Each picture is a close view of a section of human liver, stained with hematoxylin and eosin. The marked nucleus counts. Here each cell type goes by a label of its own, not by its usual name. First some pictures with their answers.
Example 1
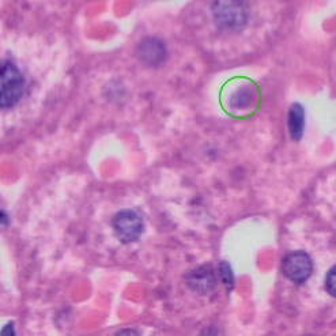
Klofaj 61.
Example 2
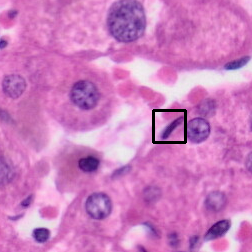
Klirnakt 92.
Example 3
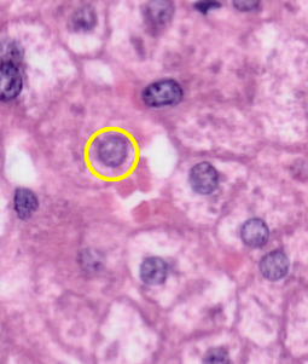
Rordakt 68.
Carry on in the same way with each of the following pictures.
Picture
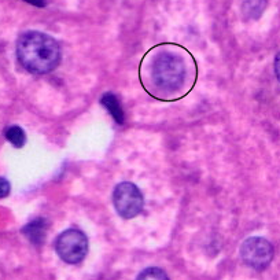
Rordakt 68.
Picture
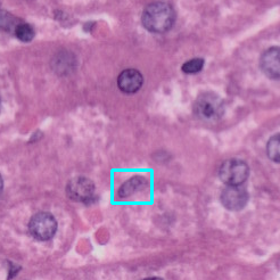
Klofaj 61.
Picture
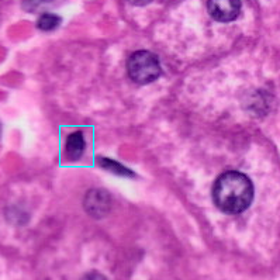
Klirnakt 92.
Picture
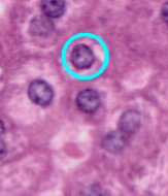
Rordakt 68.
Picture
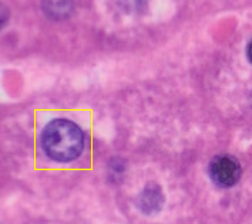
Rordakt 68.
